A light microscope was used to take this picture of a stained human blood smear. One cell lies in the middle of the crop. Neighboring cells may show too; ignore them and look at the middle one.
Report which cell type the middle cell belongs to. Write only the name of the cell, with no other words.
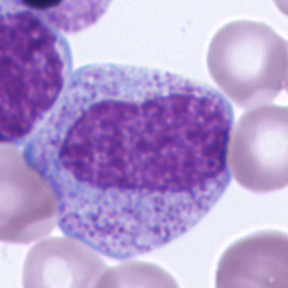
promyelocyte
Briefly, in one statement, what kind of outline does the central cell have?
The cell shows a smooth outline that lacks any surface projections.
